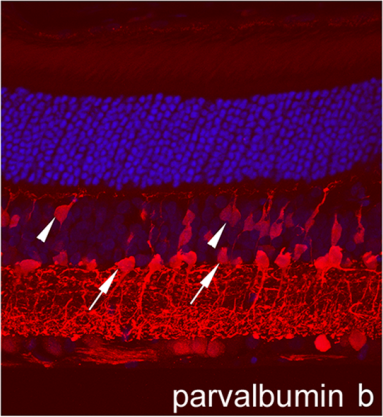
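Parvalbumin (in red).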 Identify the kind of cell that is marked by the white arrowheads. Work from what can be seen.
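Bipolar cells. The arrowheads point to red cell bodies lying within the inner band of blue nuclei, above the row of larger red cell bodies. Thin red processes run vertically up toward the outer nuclear band.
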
